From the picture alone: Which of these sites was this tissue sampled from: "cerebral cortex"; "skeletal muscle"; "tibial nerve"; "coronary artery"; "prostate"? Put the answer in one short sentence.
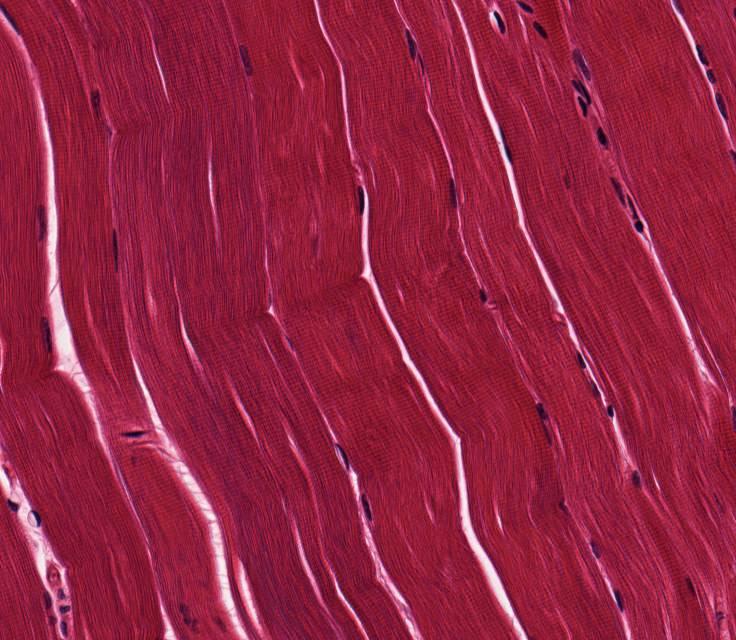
The site this tissue was sampled from is the skeletal muscle.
